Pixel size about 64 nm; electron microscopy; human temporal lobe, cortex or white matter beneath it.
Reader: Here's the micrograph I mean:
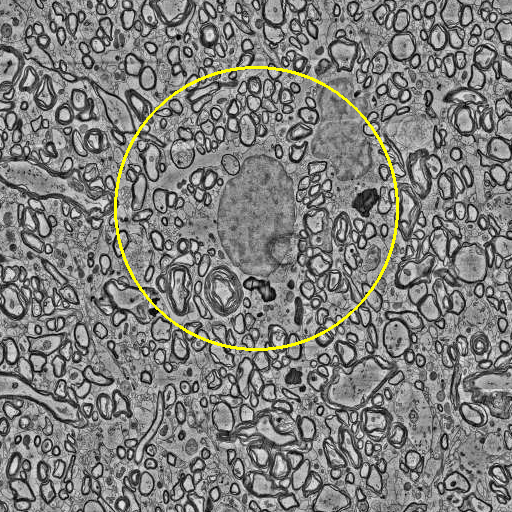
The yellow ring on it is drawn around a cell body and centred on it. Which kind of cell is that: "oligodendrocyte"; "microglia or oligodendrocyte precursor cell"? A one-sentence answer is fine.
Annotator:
The ring is centred on an oligodendrocyte.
